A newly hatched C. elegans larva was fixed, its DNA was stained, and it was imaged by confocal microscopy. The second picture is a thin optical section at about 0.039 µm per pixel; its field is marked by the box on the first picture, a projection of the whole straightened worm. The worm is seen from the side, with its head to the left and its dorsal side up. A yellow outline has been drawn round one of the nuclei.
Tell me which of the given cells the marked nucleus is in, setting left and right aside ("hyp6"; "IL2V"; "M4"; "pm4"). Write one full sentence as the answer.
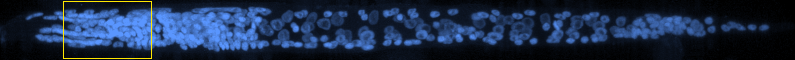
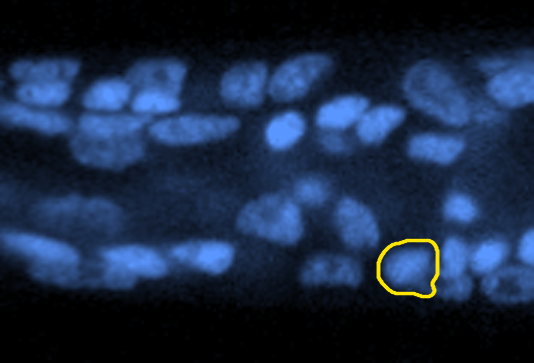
The marked nucleus belongs to IL2V, a neuron.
